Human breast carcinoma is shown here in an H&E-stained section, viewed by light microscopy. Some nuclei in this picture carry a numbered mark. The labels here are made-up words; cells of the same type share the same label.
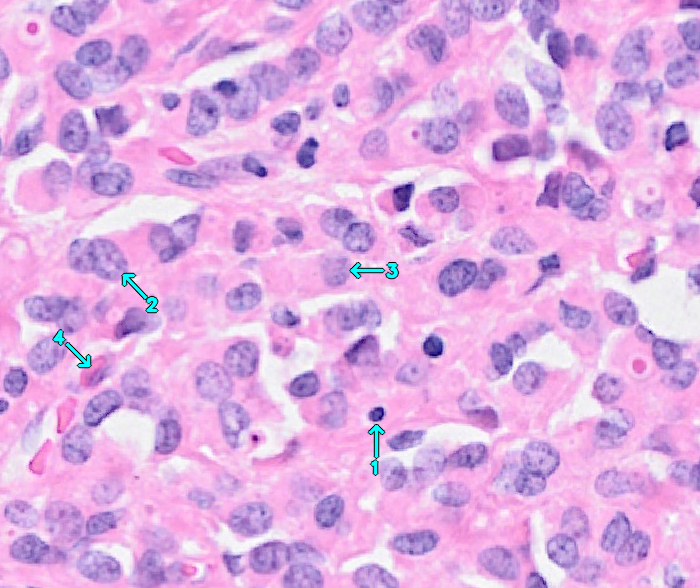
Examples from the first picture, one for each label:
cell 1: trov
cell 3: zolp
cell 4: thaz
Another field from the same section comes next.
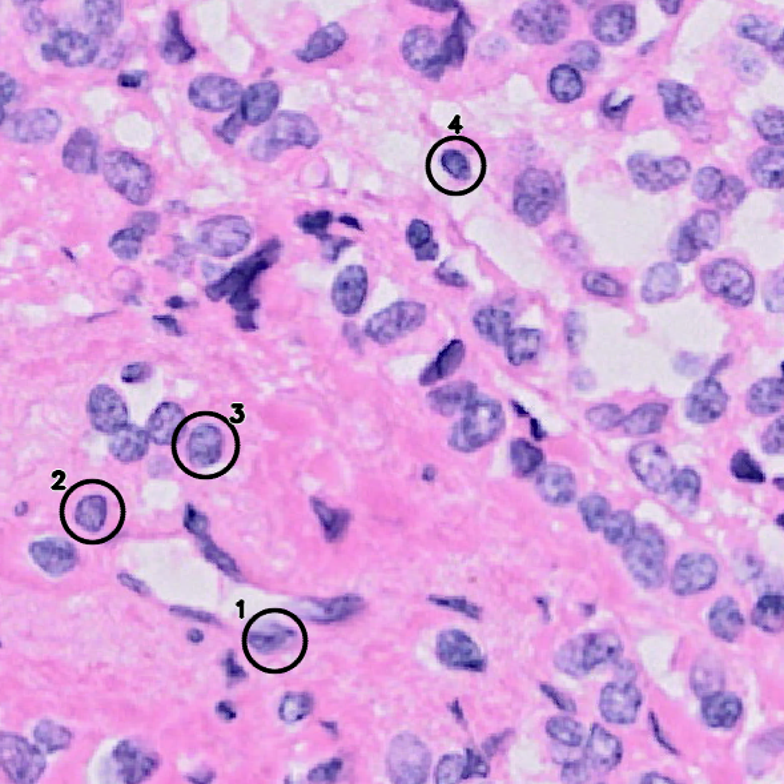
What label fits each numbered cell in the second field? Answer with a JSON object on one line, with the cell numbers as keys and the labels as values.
{"1": "thaz", "2": "zolp", "3": "zolp", "4": "trov"}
